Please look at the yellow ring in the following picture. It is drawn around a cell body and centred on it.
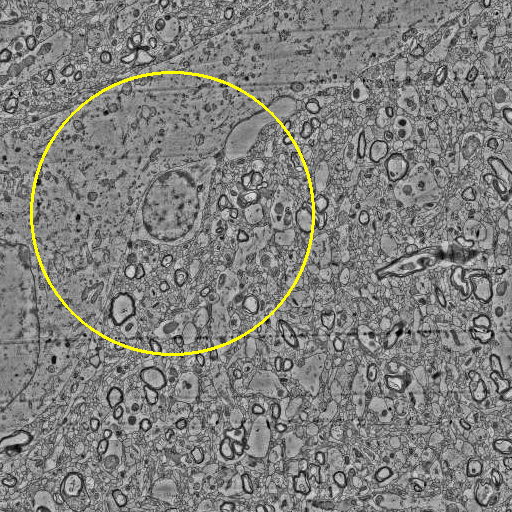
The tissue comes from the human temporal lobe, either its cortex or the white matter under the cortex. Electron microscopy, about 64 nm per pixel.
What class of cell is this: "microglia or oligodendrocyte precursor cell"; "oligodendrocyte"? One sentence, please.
The ring surrounds the cell body of a microglial cell or oligodendrocyte precursor cell.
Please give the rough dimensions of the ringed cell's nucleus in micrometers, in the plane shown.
About 4 micrometres across in this plane.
